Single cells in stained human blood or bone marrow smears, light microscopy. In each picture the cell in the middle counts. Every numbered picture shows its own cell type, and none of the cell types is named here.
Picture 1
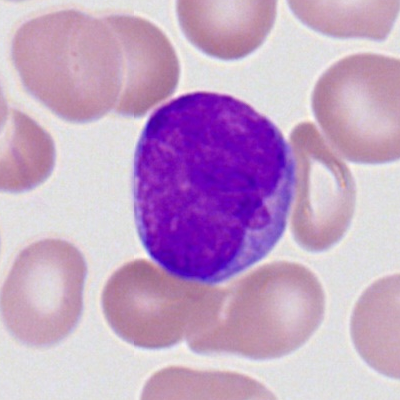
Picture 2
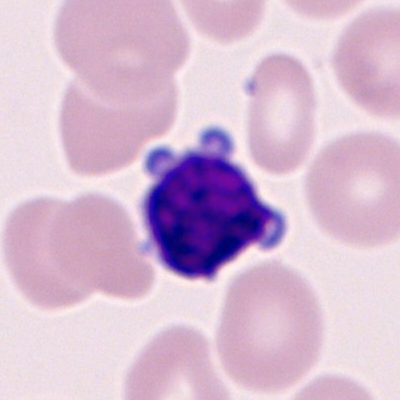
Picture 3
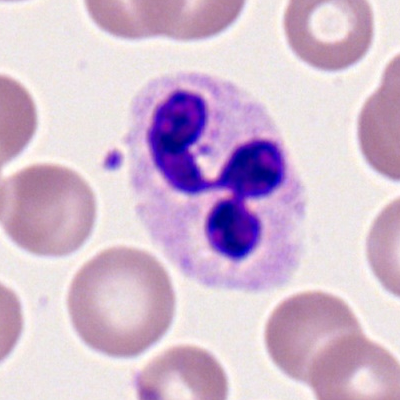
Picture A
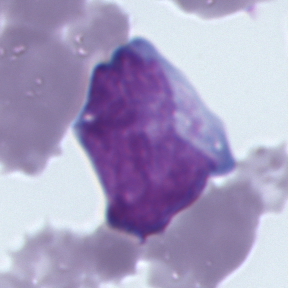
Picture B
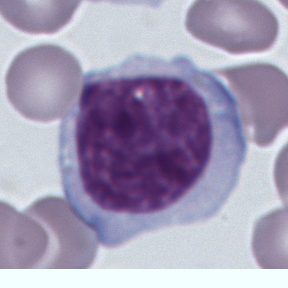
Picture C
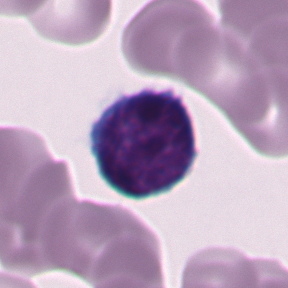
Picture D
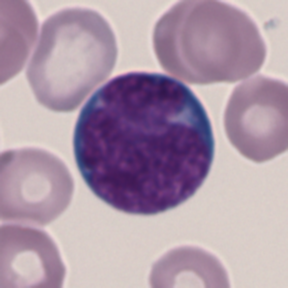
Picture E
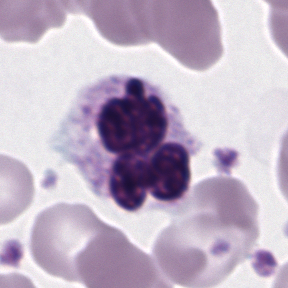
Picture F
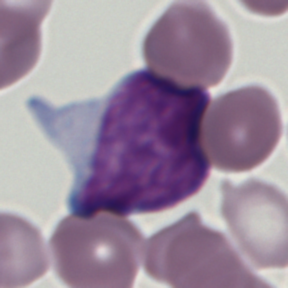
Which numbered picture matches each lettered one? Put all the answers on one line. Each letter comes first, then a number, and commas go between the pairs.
A 1, B 1, C 2, D 1, E 3, F 1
